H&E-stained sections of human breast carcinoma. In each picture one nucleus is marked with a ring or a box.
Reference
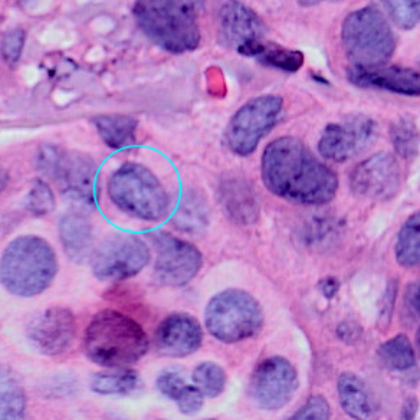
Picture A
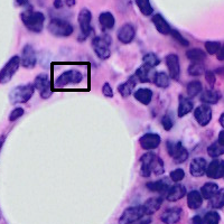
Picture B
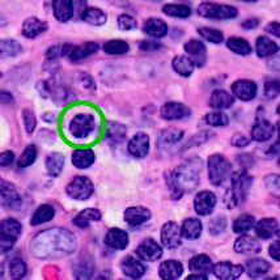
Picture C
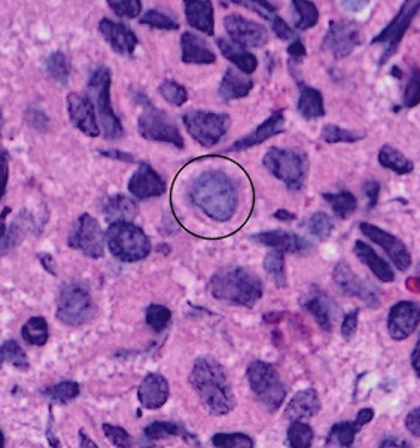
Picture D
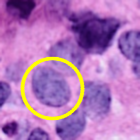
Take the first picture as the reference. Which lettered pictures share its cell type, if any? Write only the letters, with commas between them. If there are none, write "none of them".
C, D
